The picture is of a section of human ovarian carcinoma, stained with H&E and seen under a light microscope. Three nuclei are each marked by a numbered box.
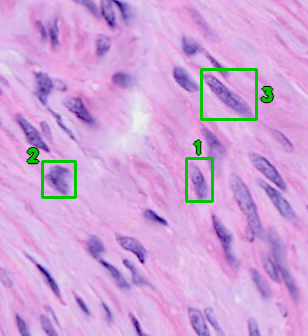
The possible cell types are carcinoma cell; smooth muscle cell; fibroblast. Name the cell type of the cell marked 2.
fibroblast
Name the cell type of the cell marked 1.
smooth muscle cell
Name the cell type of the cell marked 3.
smooth muscle cell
